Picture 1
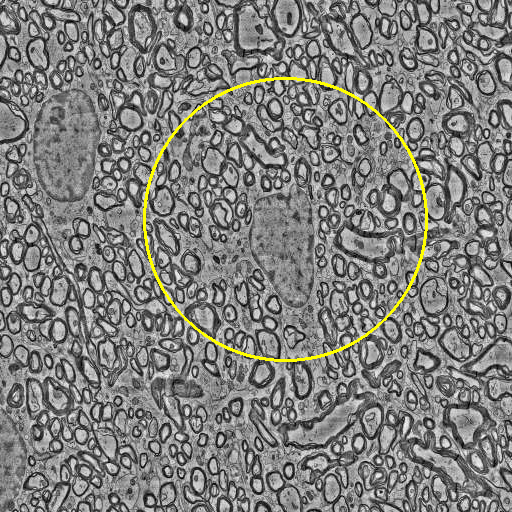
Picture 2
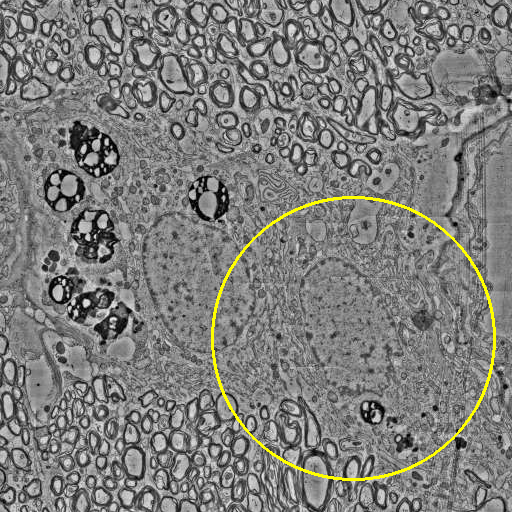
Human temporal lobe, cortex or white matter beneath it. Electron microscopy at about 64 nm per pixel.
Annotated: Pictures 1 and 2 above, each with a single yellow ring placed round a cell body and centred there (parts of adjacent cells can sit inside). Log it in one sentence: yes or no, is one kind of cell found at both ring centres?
No, the ring centres of the two pictures hold cells of two kinds.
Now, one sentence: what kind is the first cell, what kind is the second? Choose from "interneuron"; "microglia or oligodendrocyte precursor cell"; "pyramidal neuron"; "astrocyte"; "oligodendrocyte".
The first picture has a microglial cell or oligodendrocyte precursor cell at its ring centre, and the second has an astrocyte.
